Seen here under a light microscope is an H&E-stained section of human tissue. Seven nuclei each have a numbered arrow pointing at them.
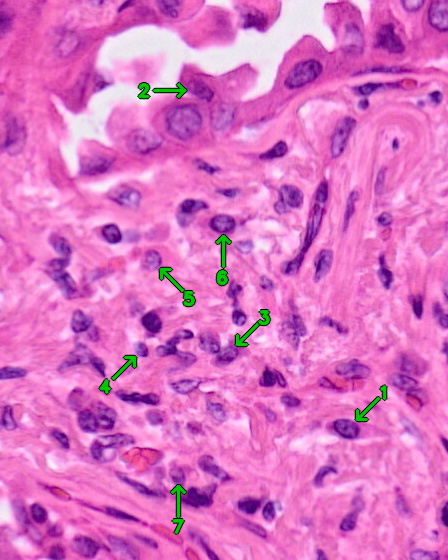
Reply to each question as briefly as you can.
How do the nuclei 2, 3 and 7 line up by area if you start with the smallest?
7, 3, 2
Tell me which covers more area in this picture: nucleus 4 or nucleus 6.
6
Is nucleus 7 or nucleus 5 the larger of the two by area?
5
